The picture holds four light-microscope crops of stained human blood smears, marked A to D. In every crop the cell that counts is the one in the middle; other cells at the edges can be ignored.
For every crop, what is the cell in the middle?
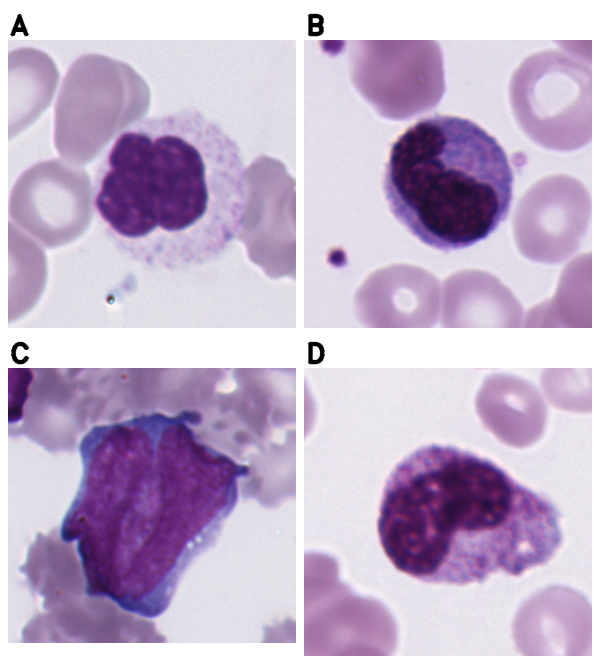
A: segmented neutrophil
B: monocyte
C: myeloblast
D: monocyte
